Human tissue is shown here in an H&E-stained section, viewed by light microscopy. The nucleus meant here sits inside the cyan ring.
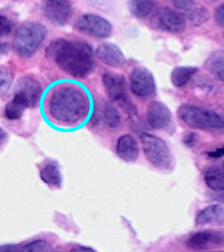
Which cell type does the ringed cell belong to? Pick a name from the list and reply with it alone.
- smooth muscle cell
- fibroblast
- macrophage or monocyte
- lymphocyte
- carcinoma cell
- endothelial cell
carcinoma cell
